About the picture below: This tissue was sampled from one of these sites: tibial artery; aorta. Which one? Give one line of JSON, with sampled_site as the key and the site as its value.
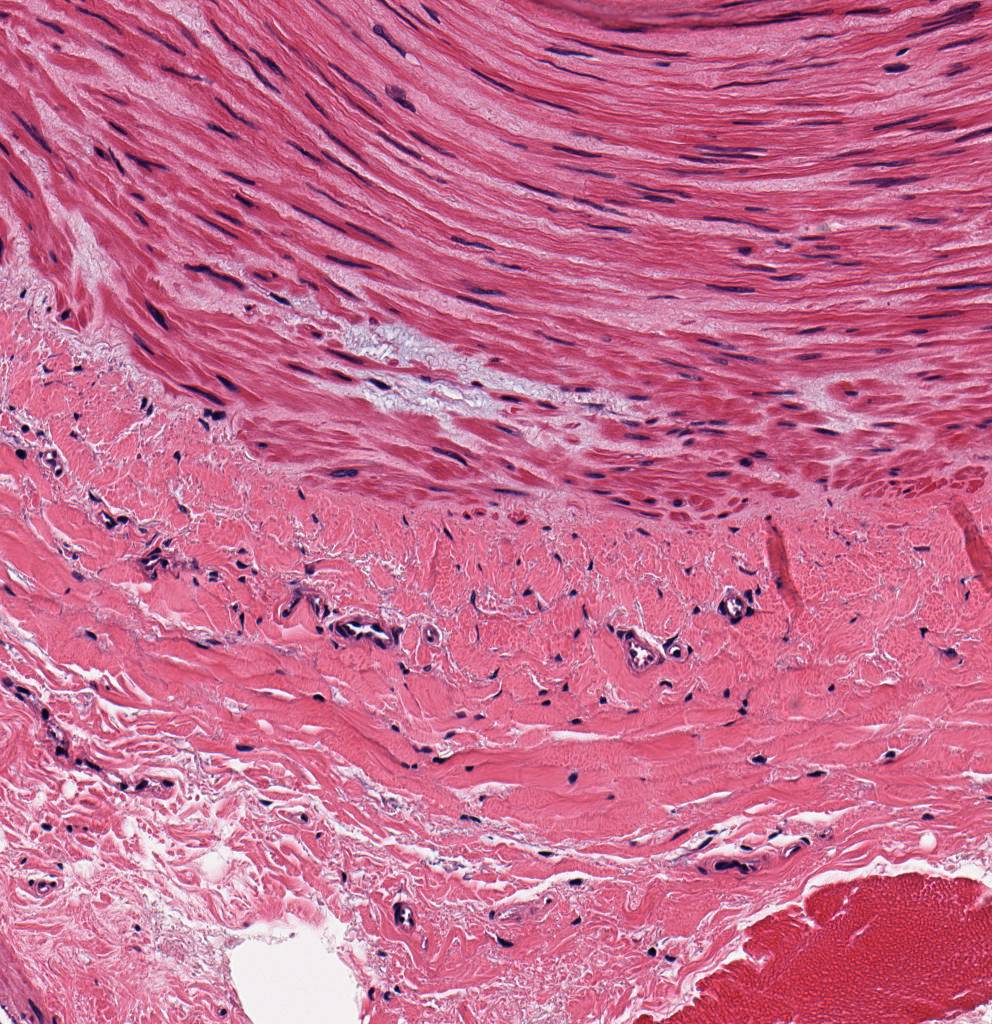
{"sampled_site": "tibial artery"}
